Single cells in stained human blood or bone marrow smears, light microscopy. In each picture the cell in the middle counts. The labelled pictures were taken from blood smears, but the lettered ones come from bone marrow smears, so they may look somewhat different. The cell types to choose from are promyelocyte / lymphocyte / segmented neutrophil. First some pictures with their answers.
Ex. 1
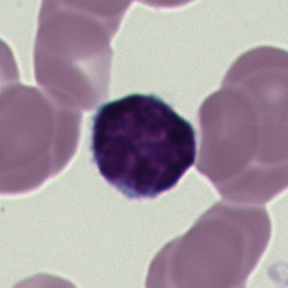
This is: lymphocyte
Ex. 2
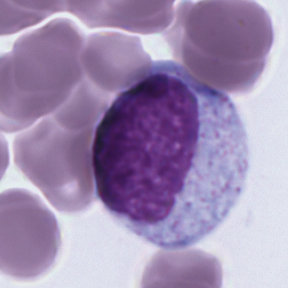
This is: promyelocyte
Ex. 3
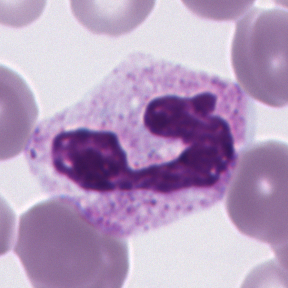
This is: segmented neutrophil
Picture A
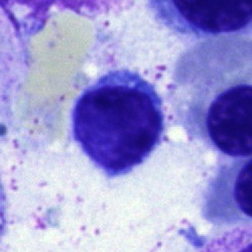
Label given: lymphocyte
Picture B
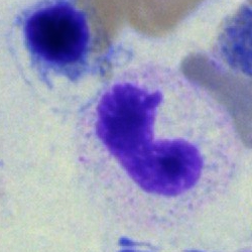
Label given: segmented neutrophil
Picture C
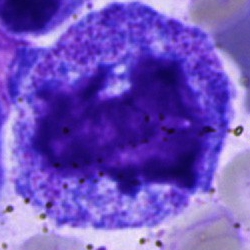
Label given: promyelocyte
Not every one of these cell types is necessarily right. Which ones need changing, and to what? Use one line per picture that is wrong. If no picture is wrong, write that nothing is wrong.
Every label is right.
